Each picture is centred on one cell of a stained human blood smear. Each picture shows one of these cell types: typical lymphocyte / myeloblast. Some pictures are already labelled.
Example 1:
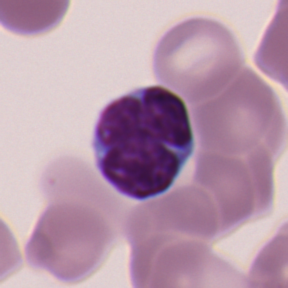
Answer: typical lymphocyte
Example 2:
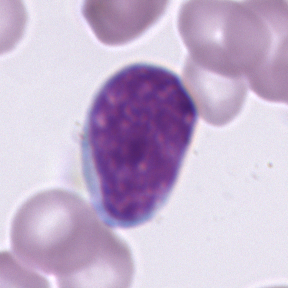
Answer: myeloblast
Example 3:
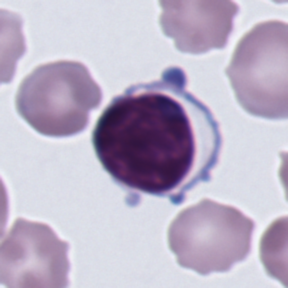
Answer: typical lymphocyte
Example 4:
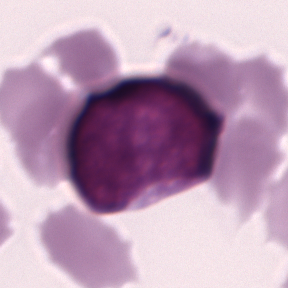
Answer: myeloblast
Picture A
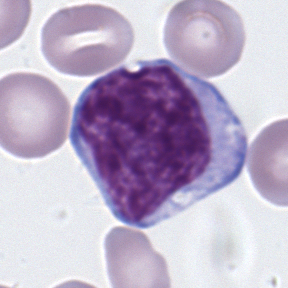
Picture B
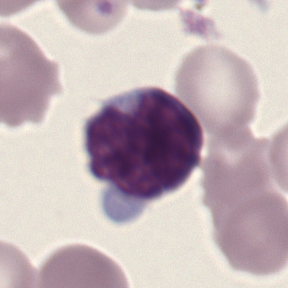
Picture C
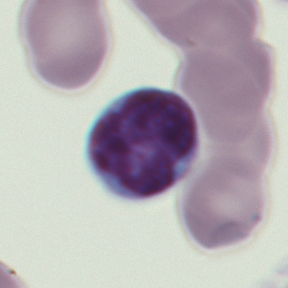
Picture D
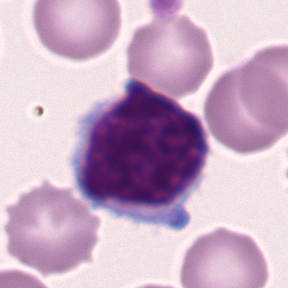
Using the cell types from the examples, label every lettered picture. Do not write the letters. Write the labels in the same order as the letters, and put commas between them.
myeloblast, typical lymphocyte, typical lymphocyte, typical lymphocyte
